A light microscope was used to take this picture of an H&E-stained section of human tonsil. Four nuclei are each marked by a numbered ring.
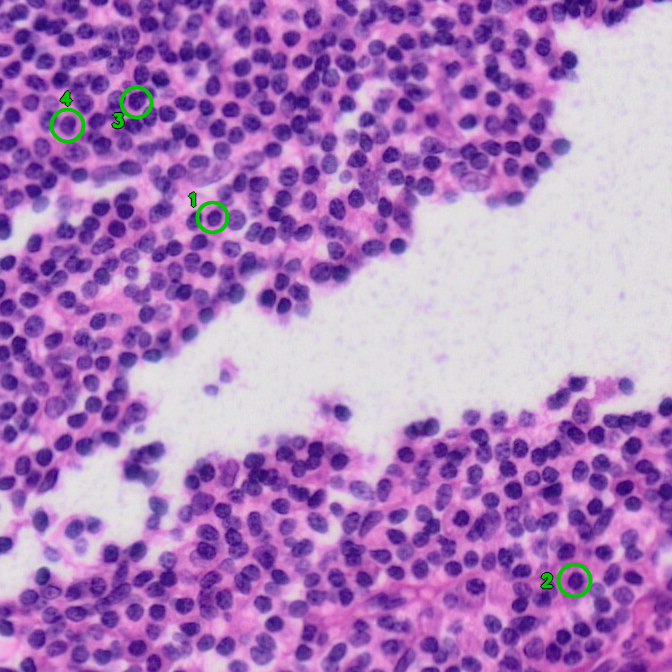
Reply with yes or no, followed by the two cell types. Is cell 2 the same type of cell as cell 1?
No, cell 2 is a plasma cell and cell 1 is a small lymphocyte.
